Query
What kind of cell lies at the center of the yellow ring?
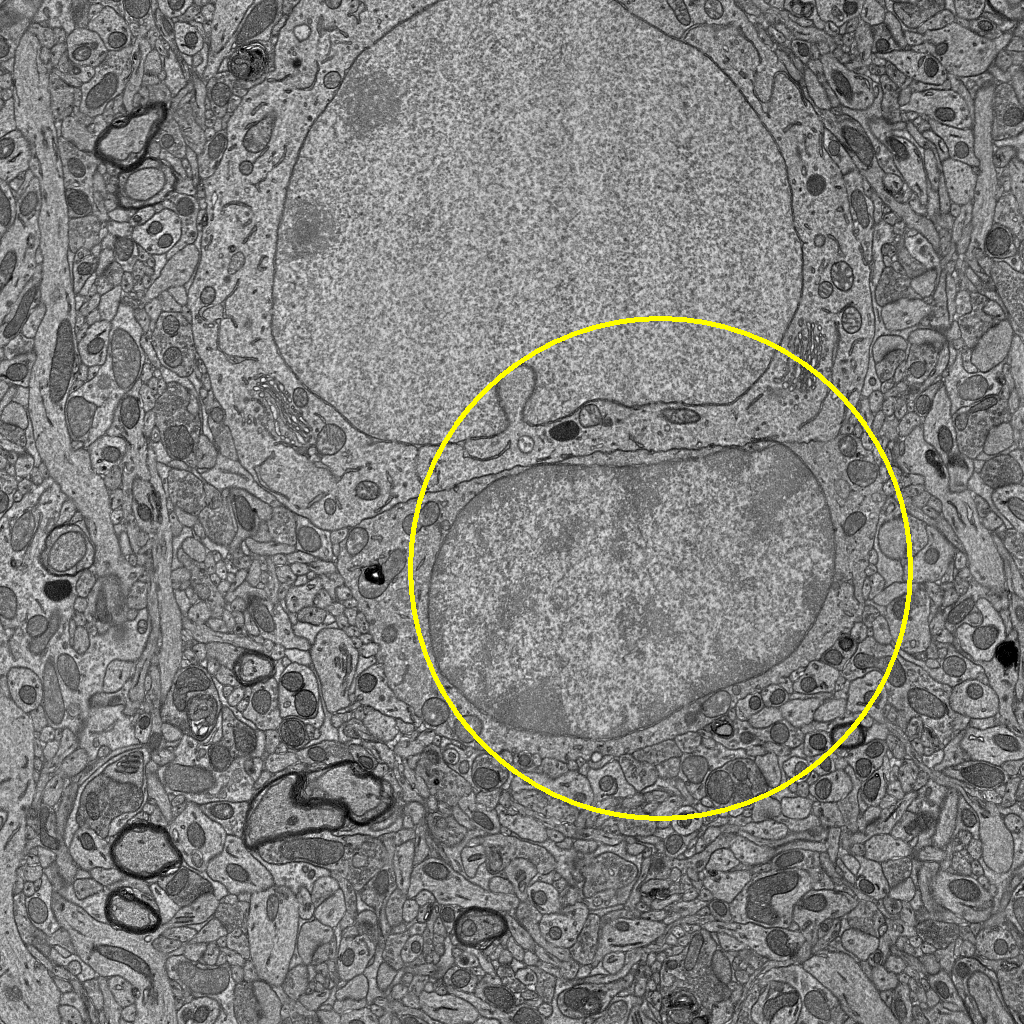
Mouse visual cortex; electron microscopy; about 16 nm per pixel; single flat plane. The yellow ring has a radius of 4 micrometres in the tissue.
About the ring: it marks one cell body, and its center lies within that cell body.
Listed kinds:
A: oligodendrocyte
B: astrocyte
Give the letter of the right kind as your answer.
A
